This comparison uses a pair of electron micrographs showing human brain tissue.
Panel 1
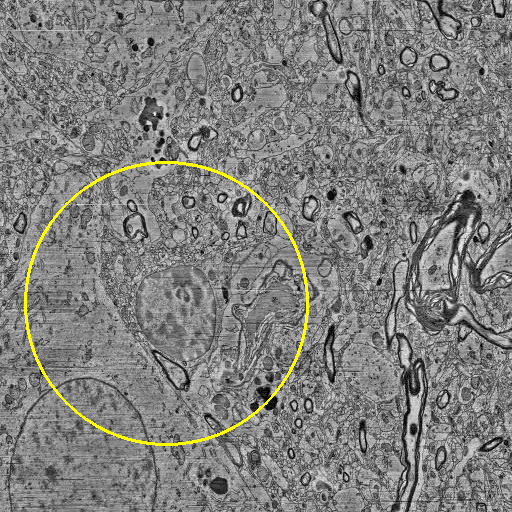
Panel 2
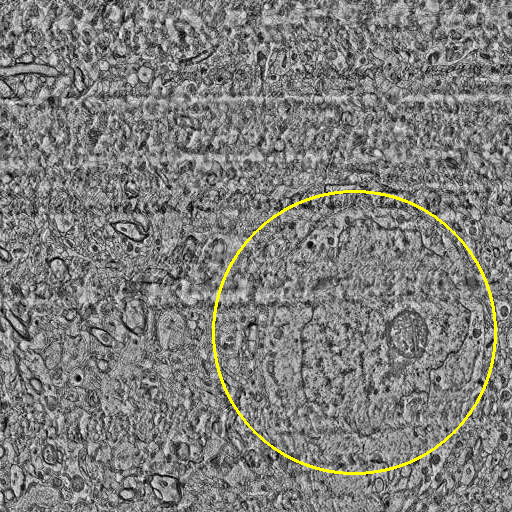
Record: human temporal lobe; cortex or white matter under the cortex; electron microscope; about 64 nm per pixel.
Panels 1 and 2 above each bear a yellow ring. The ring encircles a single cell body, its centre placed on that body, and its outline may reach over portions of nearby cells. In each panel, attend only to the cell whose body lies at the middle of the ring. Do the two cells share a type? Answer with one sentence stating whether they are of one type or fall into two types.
In Panel 1 and Panel 2, the cells at the centres of the rings fall into two types.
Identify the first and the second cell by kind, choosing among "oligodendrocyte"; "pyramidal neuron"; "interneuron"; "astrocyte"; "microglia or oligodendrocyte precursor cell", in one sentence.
The one in the first picture is an oligodendrocyte, while the one in the second is a pyramidal neuron.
